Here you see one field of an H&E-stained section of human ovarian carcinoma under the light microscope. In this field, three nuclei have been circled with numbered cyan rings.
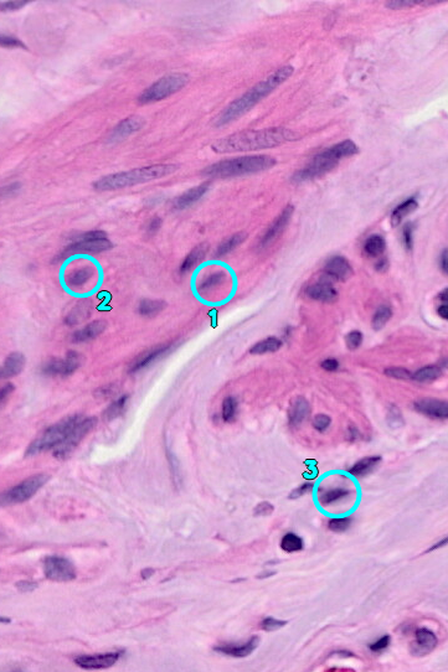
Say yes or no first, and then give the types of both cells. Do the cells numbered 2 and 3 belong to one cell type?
No, as to type, cell 2 is a smooth muscle cell, and cell 3 is a fibroblast.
